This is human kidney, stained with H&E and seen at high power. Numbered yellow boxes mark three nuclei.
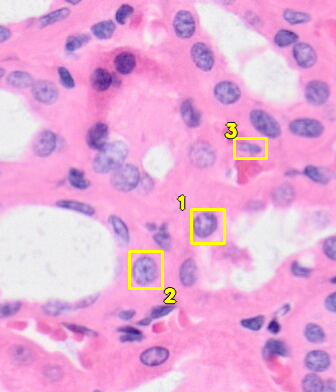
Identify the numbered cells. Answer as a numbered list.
1. loop of Henle or distal tubule cell
2. loop of Henle or distal tubule cell
3. endothelial cell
